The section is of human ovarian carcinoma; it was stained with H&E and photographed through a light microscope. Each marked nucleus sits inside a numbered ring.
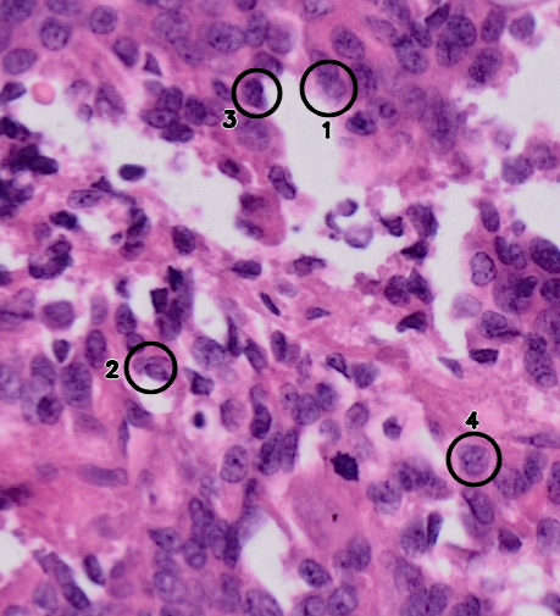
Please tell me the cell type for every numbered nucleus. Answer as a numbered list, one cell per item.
1. carcinoma cell
2. macrophage or monocyte
3. carcinoma cell
4. carcinoma cell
